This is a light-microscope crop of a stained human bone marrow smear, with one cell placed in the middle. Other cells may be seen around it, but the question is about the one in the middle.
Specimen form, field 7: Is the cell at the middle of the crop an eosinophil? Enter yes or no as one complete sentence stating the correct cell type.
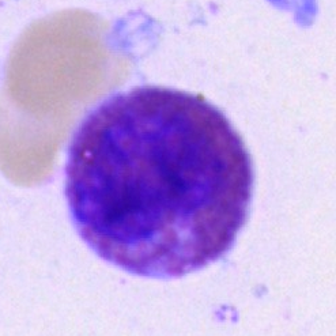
Yes, the centrally placed cell is an eosinophil.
